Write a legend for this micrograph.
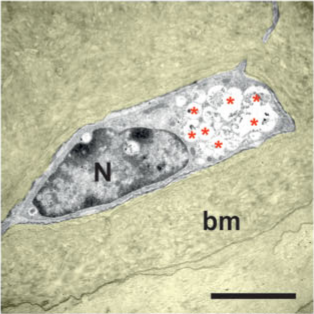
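Transmission electron micrograph of an osteocyte lying fully enclosed in yellow-tinted matrix. The cell is spindle-shaped with a large oval nucleus with dense peripheral chromatin occupying much of its body. At one pole the cytoplasm holds a cluster of pale rounded vacuoles with wispy flocculent contents, marked by red asterisks. Thin tapering processes extend from the cell ends into the surrounding matrix.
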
